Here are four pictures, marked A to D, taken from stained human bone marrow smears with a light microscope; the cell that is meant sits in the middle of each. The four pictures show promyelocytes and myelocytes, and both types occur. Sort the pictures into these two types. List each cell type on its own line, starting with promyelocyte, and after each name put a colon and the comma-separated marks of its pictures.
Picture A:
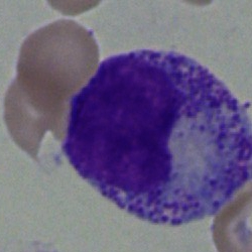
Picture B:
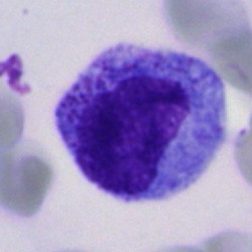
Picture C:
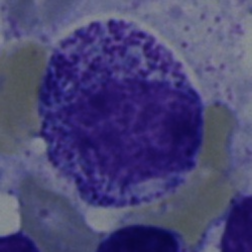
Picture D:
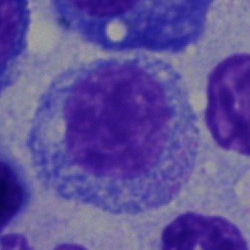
promyelocyte: B, C, D
myelocyte: A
